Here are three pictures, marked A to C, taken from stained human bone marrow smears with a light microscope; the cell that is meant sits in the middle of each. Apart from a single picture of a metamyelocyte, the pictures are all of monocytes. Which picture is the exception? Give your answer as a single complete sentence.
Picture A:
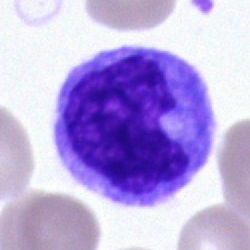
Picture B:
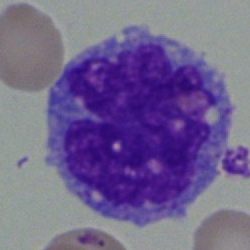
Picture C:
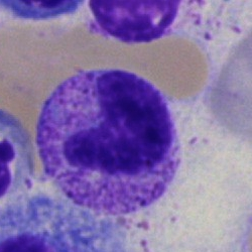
The cell in picture C is the metamyelocyte.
